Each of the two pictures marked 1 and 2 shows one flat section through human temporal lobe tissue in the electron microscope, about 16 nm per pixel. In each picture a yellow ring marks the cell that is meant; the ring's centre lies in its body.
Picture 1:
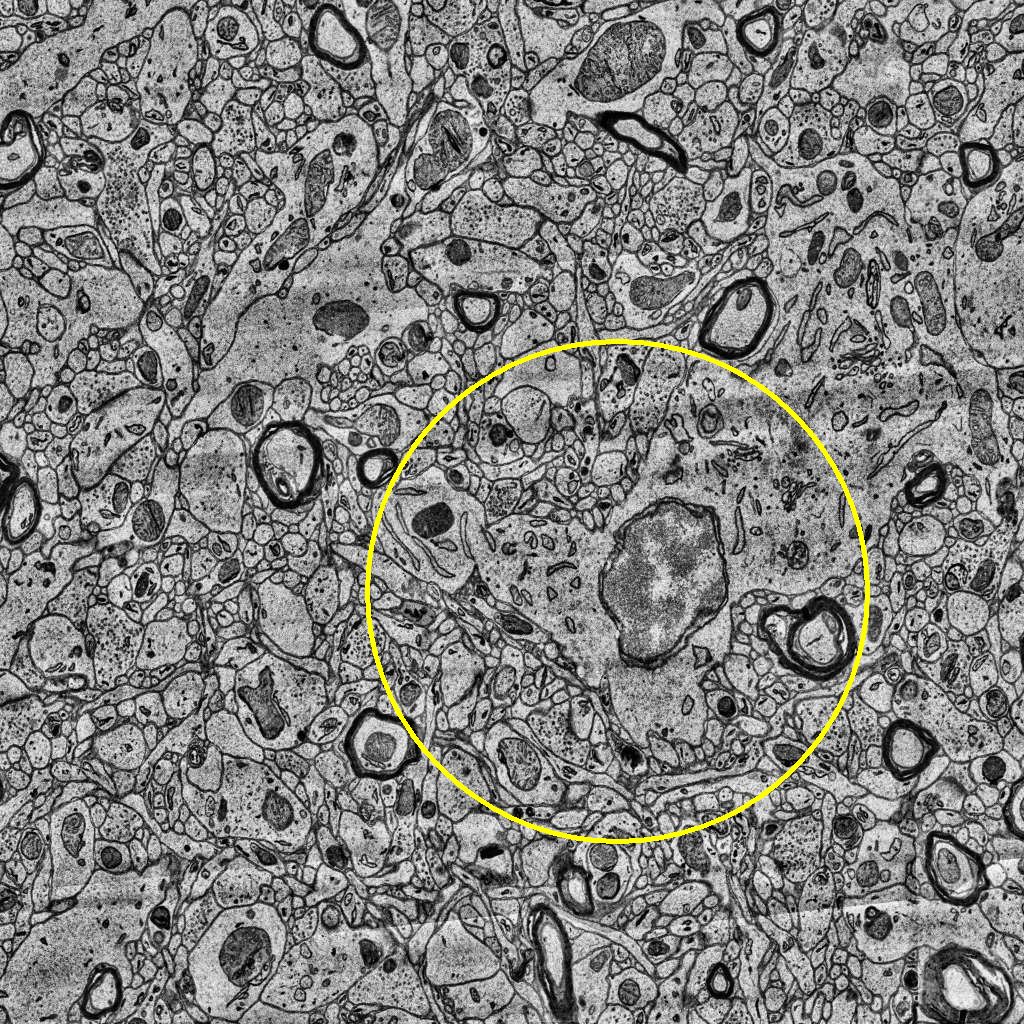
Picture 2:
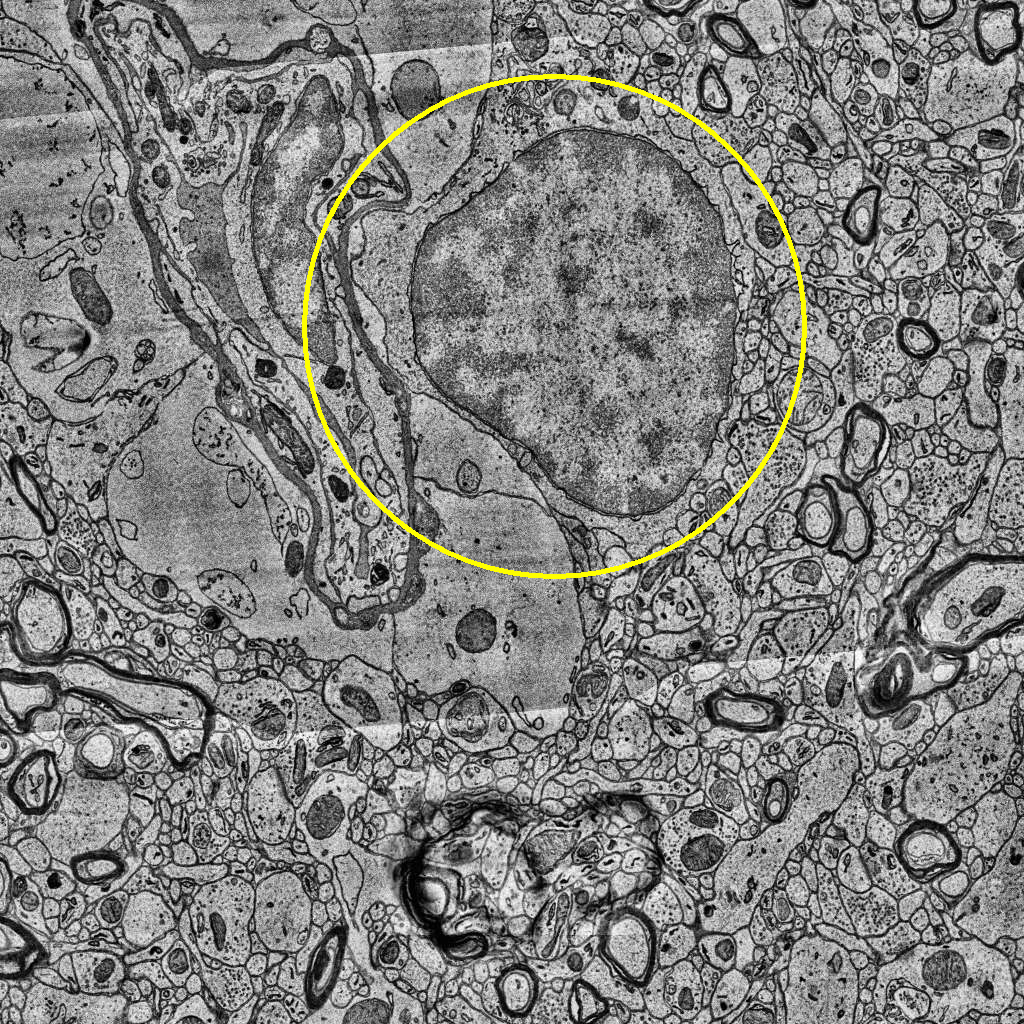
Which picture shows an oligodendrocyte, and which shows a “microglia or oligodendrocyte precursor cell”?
The cell in picture 1 is a “microglia or oligodendrocyte precursor cell”, and the one in picture 2 is an oligodendrocyte.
